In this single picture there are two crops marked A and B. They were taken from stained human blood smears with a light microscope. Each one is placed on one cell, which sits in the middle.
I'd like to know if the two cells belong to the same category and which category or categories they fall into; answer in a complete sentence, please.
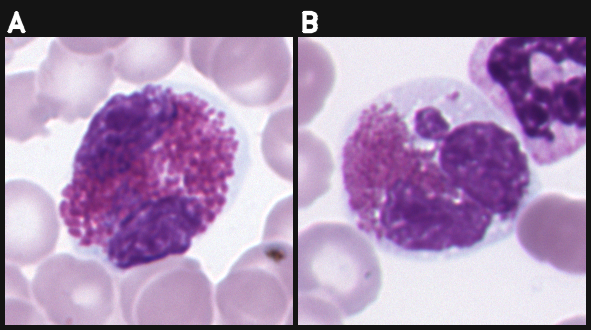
Yes, the cells of interest in both crops are eosinophils.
